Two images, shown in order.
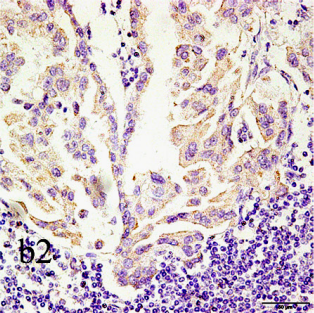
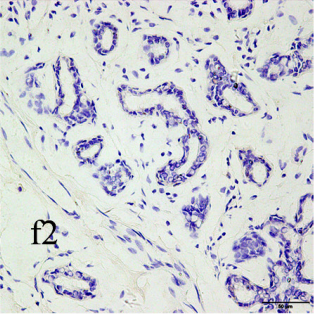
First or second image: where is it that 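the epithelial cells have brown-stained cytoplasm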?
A: The first image.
